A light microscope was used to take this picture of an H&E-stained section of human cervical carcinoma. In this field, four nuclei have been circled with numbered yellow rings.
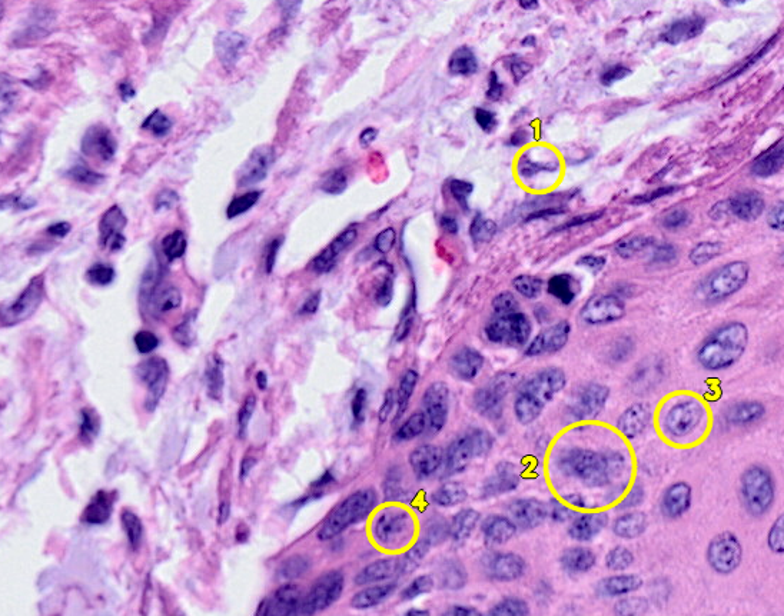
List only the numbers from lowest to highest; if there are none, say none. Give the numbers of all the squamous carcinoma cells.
2, 3, 4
